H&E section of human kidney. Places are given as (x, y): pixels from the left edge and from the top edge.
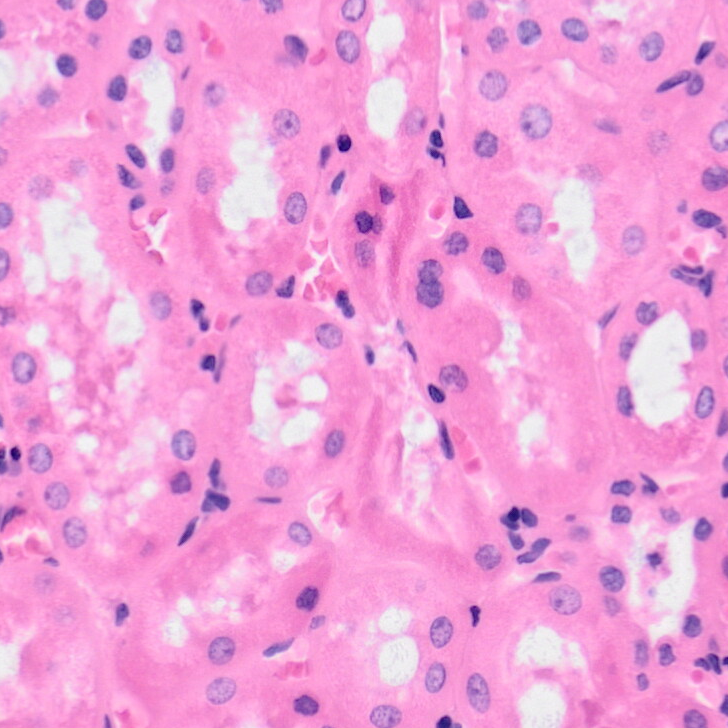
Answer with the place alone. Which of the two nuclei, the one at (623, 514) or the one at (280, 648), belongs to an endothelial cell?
(280, 648)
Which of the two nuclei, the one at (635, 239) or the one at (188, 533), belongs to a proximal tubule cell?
(635, 239)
